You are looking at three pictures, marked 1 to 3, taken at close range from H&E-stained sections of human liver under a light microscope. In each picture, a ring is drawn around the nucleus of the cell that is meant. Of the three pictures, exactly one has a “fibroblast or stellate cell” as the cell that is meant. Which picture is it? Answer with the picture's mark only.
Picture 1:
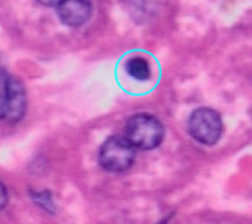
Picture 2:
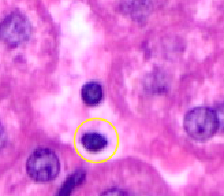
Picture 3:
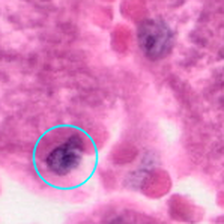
3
